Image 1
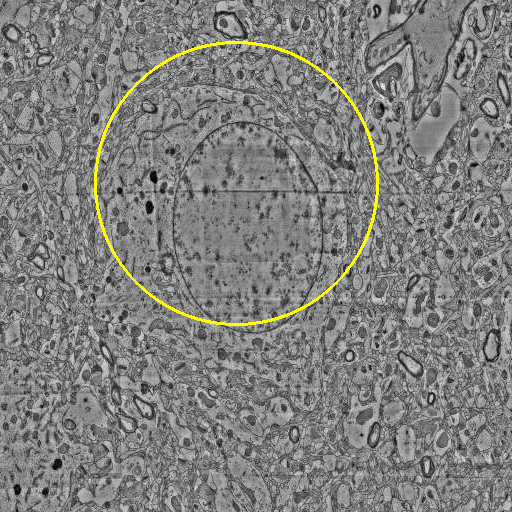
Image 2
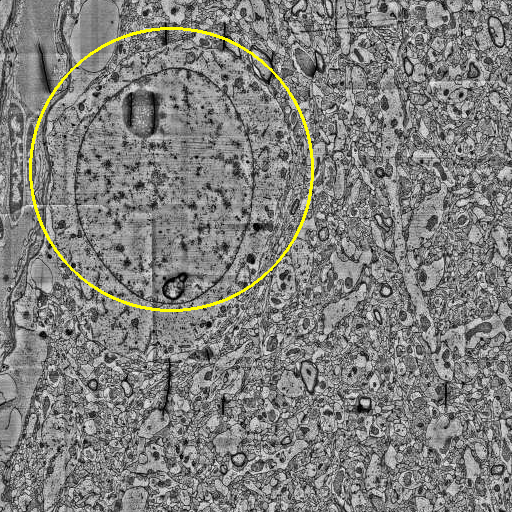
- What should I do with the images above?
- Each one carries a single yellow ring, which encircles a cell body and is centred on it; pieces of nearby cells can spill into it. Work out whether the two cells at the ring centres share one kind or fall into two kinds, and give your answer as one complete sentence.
The ring-centre cells of Image 1 and Image 2 share one kind.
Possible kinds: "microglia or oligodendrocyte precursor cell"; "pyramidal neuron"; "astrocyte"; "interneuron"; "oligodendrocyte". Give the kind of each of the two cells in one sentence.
In both pictures the ring is centred on a pyramidal neuron.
